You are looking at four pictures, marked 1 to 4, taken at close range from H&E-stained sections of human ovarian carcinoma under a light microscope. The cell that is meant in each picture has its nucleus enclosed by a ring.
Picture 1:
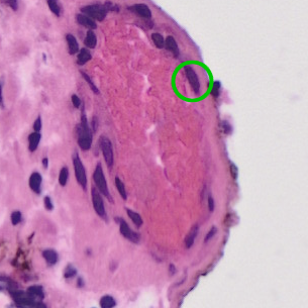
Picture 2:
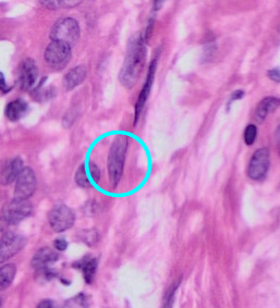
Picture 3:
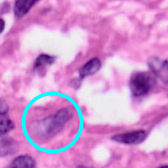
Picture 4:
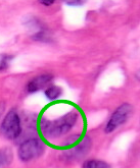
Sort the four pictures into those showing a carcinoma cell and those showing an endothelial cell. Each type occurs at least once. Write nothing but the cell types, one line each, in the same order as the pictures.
endothelial cell
endothelial cell
endothelial cell
carcinoma cell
